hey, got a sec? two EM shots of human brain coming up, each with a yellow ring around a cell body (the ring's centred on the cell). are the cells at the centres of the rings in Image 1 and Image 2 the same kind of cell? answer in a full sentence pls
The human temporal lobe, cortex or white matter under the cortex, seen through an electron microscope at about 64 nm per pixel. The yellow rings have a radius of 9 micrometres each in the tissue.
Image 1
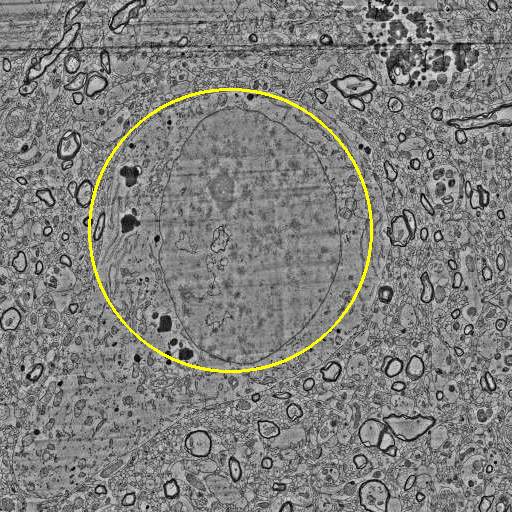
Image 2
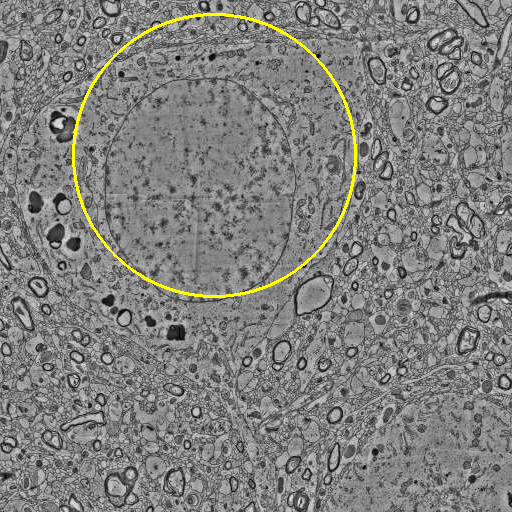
Yes, both are the same kind of cell.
